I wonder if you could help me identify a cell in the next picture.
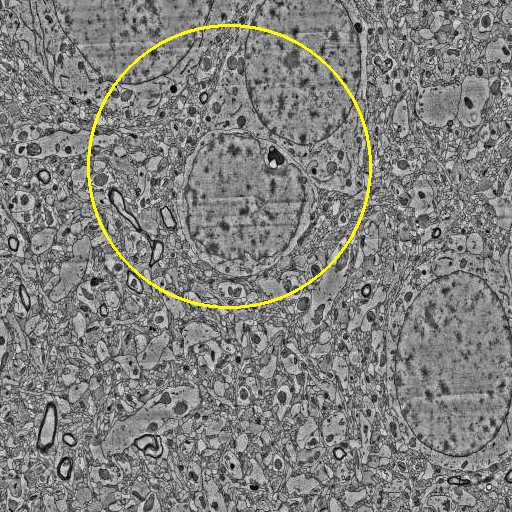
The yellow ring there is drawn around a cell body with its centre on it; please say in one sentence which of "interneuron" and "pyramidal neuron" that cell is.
The yellow ring is centred on an interneuron.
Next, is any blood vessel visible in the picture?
No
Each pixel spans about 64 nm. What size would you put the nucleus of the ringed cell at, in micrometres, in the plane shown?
The nucleus is about 8 micrometres across in this plane.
